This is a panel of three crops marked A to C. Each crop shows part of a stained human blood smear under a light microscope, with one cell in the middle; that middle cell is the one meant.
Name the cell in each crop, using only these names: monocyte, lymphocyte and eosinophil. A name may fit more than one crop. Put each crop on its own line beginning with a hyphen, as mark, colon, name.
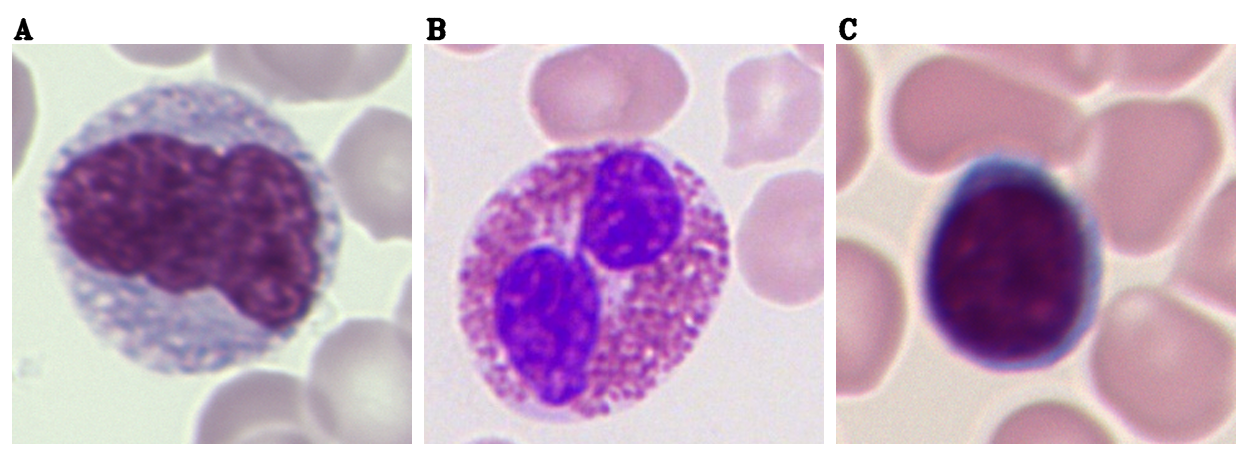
- A: monocyte
- B: eosinophil
- C: lymphocyte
